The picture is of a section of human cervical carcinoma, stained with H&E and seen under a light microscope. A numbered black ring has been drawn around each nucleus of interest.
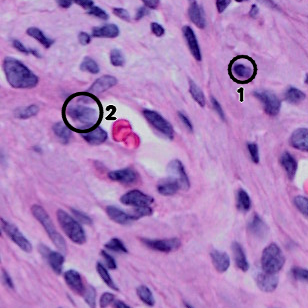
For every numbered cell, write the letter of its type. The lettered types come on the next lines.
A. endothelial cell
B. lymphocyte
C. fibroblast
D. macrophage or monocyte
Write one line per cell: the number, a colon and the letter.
1: C
2: A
